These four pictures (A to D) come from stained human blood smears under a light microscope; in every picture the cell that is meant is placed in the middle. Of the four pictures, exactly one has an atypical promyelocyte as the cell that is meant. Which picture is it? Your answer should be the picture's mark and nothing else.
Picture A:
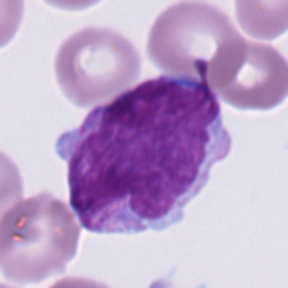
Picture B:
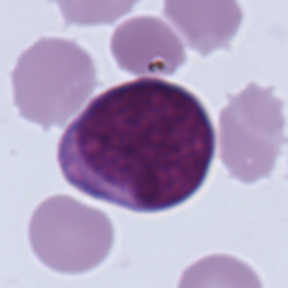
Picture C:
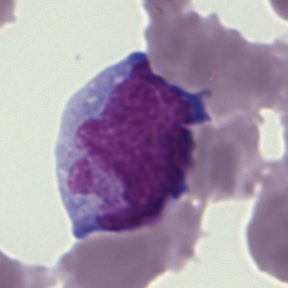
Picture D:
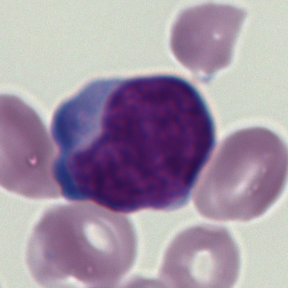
A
